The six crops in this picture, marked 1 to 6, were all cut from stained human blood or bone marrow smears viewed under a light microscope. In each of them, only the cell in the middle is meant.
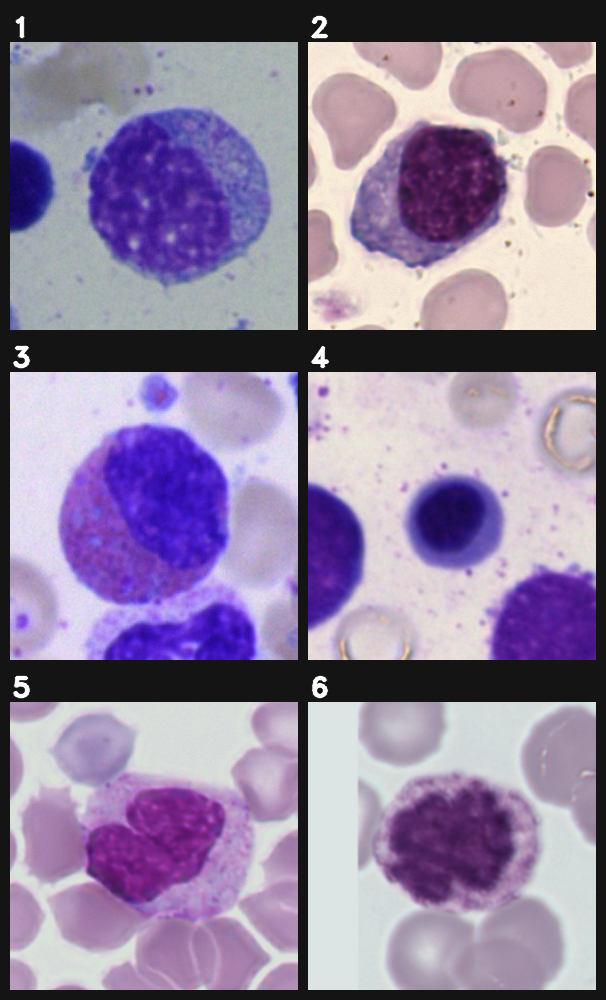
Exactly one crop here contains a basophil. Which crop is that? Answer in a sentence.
Crop 6 is where a basophil is shown.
